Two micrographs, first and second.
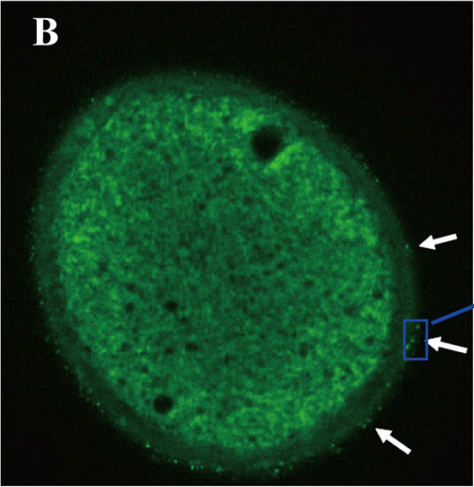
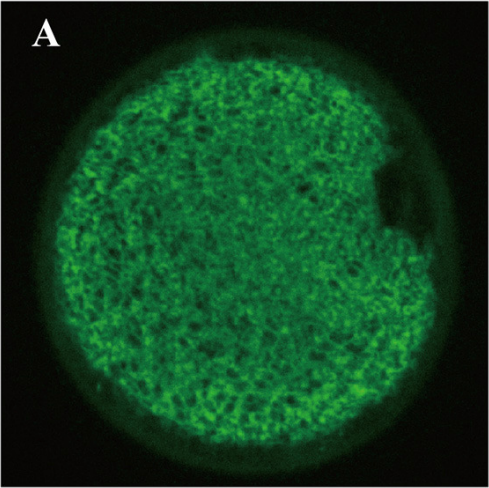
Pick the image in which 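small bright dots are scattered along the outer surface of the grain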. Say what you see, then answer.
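The first image. First image: small bright dots are scattered along the outer rim of the grain. Second image: the outer rim is smooth and evenly dim, with no bright dots.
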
